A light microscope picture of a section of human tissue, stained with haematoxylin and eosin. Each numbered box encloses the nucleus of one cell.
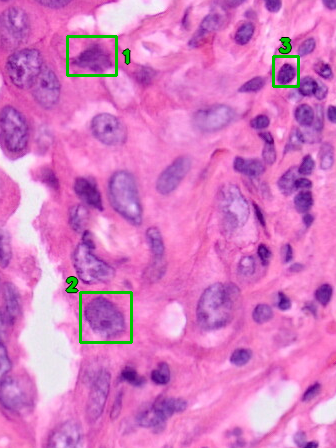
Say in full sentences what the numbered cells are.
Cells 1 and 2 are carcinoma cells. Cell 3 is a lymphocyte.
